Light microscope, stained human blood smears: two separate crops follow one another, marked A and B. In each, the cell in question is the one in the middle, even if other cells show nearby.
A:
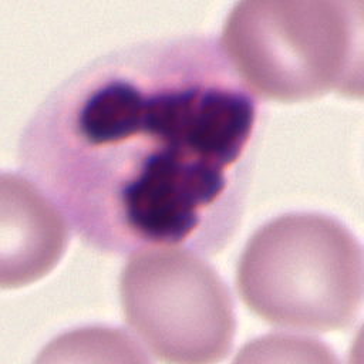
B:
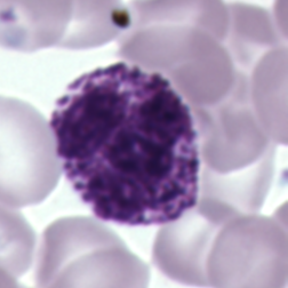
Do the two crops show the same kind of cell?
no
